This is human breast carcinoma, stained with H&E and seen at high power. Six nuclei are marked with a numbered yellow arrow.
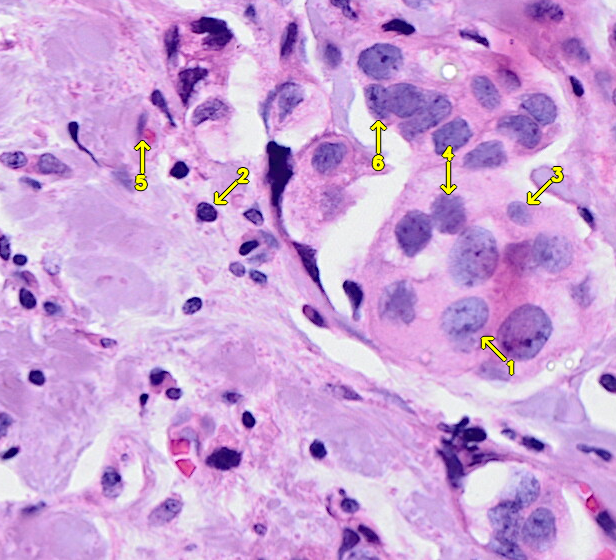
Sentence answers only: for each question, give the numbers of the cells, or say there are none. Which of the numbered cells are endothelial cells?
Cell number 5 alone is an endothelial cell; the rest are not.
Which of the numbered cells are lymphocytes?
Across all the numbered cells, only number 2 is a lymphocyte.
